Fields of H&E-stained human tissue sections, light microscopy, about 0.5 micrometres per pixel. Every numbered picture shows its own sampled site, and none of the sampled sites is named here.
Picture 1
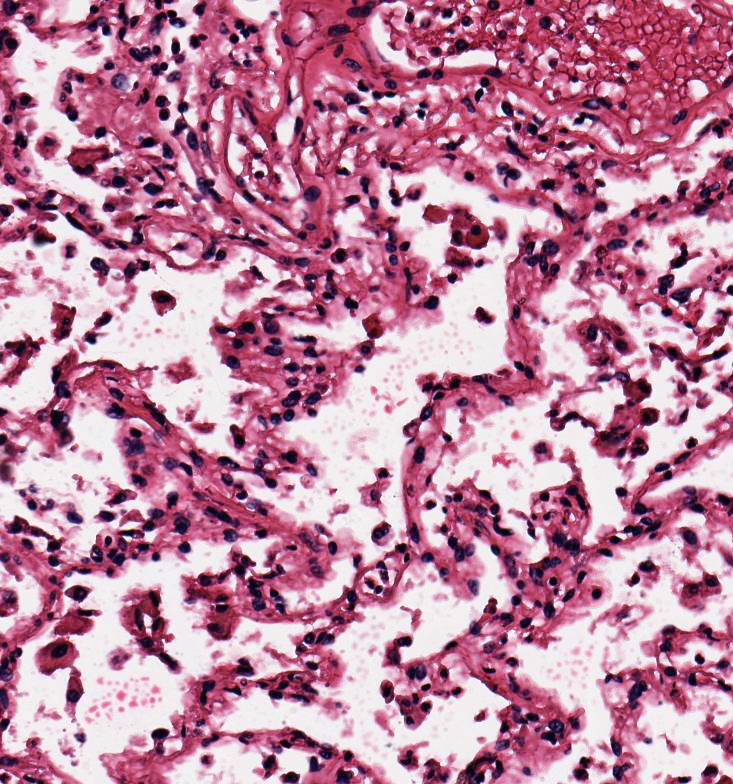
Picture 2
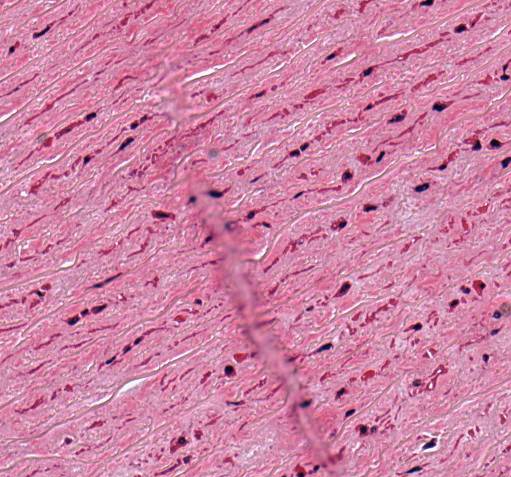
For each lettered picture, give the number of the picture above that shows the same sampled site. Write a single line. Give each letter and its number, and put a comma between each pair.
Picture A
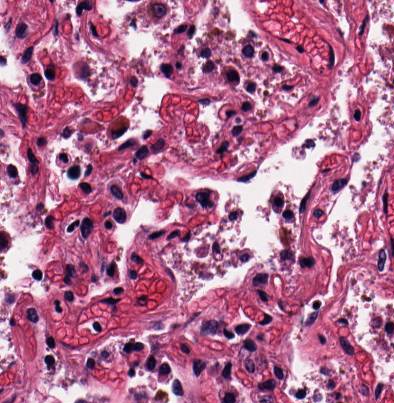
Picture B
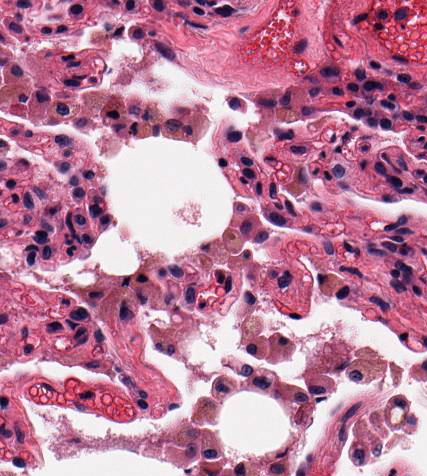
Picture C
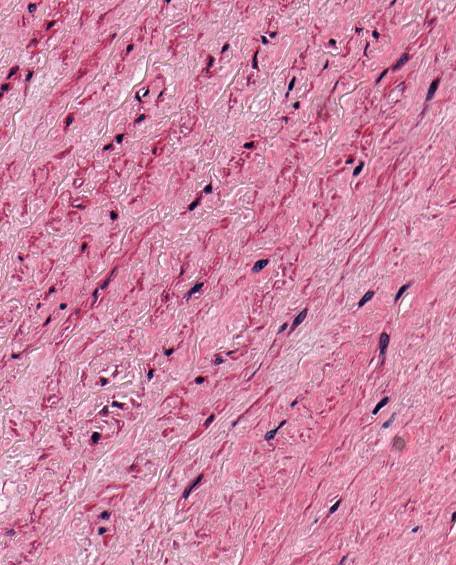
A 1, B 1, C 2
